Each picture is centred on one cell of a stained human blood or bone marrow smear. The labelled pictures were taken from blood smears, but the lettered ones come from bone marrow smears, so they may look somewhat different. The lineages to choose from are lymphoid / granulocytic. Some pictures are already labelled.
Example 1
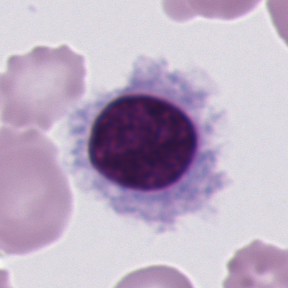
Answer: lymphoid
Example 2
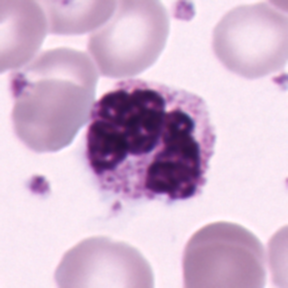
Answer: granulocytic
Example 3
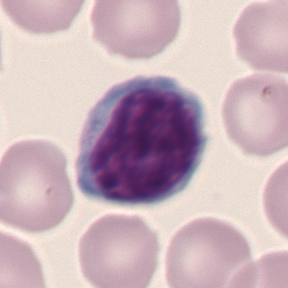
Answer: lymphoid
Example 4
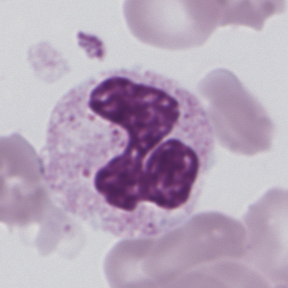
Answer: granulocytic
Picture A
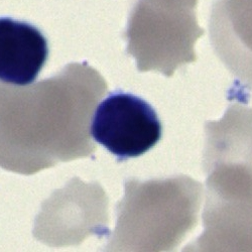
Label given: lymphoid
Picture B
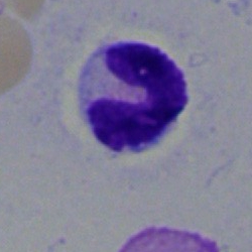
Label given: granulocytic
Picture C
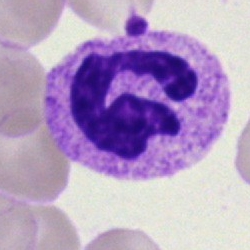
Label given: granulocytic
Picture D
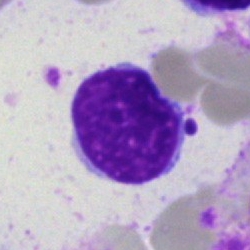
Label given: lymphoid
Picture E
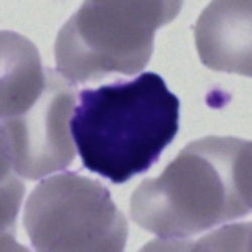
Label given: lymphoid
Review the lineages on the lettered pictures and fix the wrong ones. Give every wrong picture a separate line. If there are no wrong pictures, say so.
Nothing to fix; every label fits.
